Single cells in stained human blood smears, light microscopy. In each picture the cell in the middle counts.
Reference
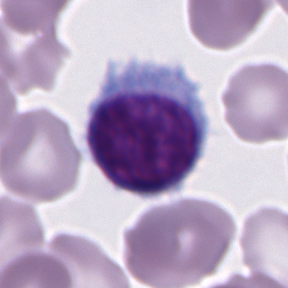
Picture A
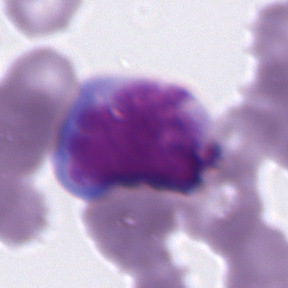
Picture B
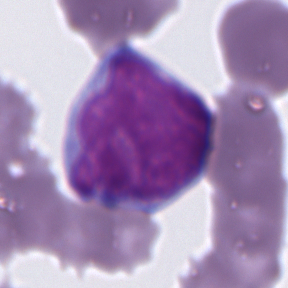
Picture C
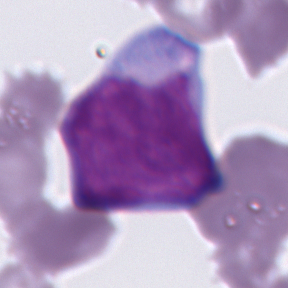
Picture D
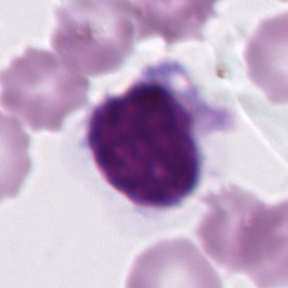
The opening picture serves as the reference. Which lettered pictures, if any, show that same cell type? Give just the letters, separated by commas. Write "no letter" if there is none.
D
